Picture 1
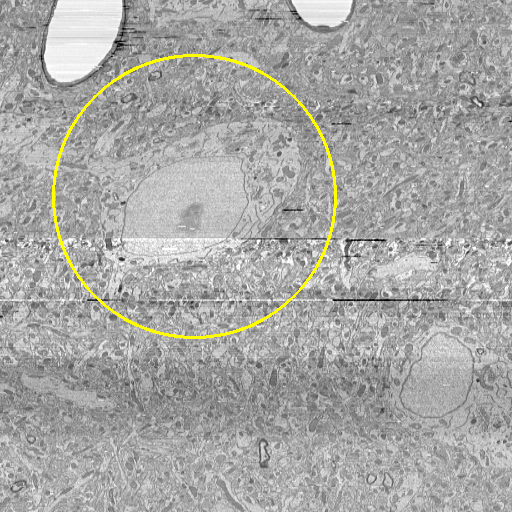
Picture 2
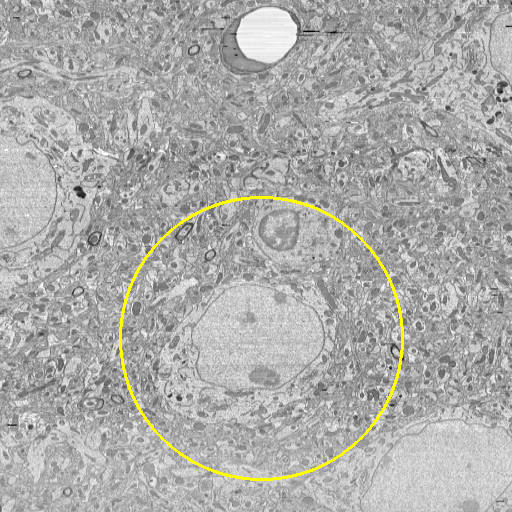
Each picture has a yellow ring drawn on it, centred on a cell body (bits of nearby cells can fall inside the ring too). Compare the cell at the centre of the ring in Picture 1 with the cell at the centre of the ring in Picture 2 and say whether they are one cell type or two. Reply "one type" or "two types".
one type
